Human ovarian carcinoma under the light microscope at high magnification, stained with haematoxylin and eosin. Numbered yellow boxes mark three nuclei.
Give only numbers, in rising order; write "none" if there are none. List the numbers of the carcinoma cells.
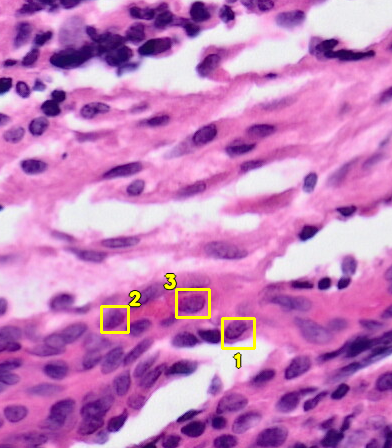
1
